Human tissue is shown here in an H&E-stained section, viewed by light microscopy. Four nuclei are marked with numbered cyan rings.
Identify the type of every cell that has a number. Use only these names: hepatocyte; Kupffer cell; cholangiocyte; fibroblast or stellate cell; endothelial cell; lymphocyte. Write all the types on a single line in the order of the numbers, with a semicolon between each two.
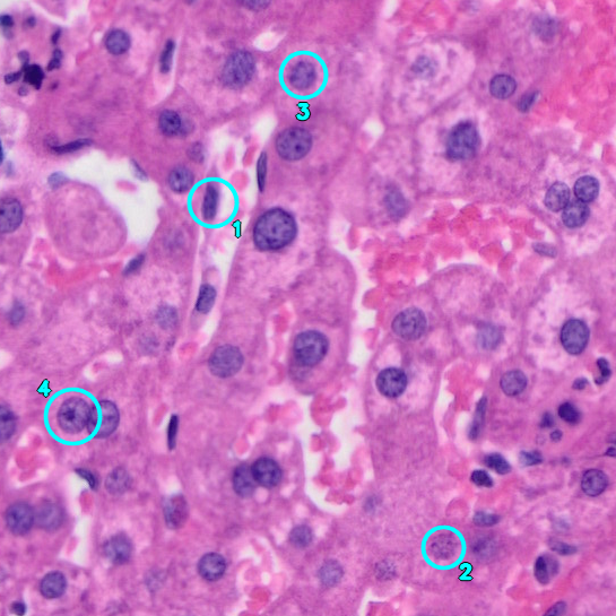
Kupffer cell; hepatocyte; hepatocyte; hepatocyte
